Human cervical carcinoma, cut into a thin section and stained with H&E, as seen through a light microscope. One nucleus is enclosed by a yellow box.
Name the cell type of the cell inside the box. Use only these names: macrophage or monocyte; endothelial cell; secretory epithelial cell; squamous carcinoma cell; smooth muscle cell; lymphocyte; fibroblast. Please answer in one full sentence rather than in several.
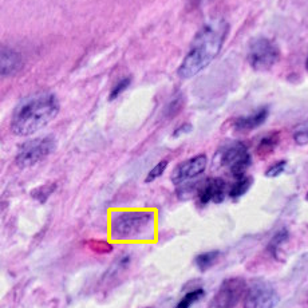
In this section of tissue, the cell inside the box is an endothelial cell.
